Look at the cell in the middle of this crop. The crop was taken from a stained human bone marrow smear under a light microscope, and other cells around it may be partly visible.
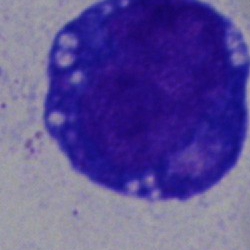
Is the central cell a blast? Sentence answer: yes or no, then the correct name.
Yes, in the middle of the crop is a blast.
